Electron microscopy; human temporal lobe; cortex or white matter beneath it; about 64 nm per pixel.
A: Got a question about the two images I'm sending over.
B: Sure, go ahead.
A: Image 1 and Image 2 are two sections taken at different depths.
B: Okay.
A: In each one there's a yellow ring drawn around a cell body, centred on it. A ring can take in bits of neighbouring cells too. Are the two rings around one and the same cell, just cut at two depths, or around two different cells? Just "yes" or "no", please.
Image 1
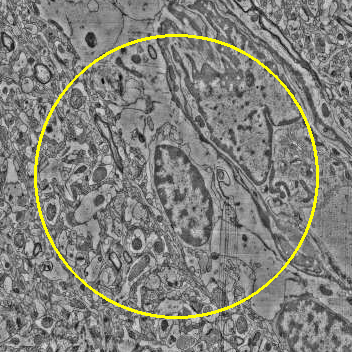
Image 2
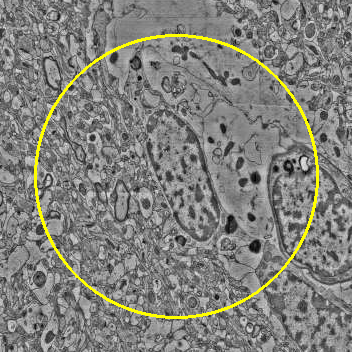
yes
